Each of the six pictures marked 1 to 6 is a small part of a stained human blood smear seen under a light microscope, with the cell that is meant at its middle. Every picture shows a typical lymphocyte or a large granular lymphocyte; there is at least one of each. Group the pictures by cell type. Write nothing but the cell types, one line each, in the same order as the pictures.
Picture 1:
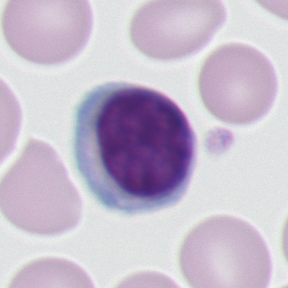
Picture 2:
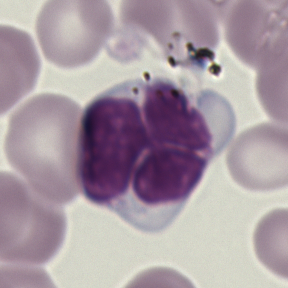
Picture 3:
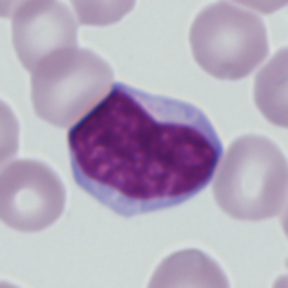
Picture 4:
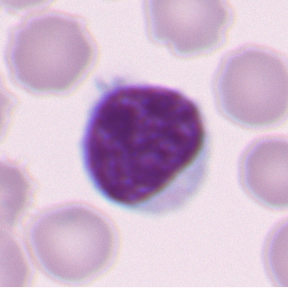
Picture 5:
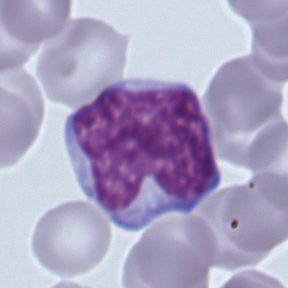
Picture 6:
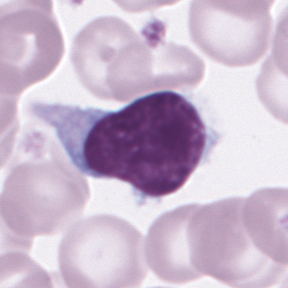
typical lymphocyte
large granular lymphocyte
large granular lymphocyte
typical lymphocyte
typical lymphocyte
typical lymphocyte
